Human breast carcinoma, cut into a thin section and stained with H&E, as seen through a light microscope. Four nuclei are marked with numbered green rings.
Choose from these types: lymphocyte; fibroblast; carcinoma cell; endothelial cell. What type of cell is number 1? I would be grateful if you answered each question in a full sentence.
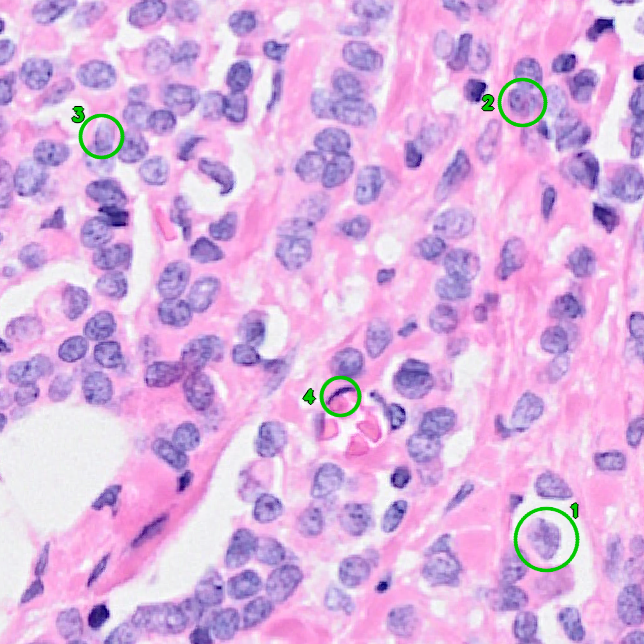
Denoted by the label 1 in the section is a carcinoma cell.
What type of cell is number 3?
The one numbered 3 among the marked cells is a carcinoma cell.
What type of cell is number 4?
Within this field of view, the cell labelled 4 is an endothelial cell.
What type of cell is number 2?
The nucleus labeled 2 belongs to a carcinoma cell.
